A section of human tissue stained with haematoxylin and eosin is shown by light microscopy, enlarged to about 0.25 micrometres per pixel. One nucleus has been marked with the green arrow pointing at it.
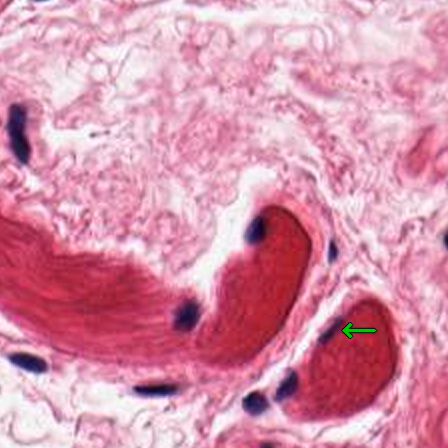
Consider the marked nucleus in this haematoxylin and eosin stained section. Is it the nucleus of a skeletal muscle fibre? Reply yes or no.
yes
